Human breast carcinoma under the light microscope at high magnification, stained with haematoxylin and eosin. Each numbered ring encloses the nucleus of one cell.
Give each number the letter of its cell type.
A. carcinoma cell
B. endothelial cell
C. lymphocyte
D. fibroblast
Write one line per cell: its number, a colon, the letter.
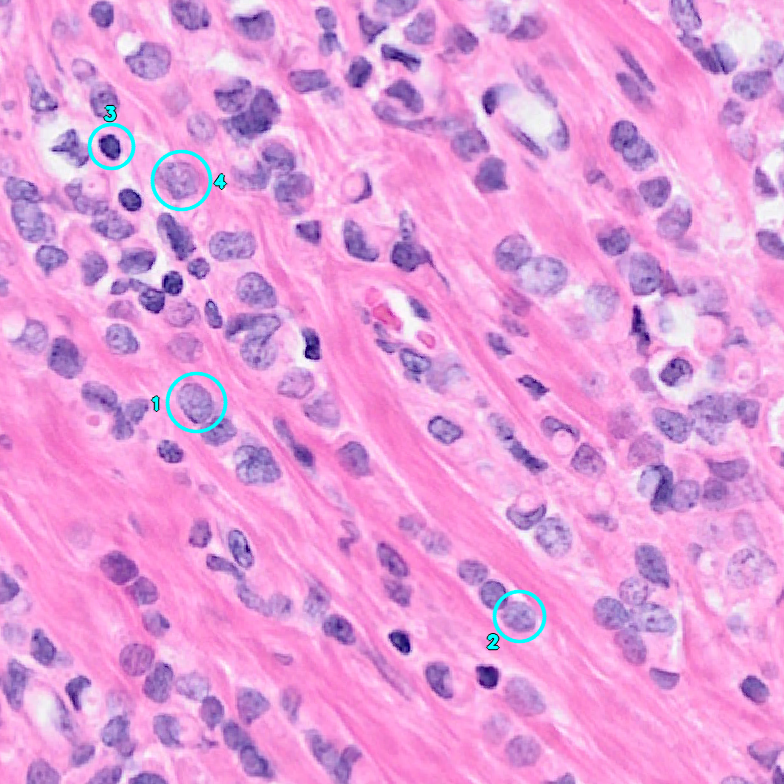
1: A
2: A
3: C
4: A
